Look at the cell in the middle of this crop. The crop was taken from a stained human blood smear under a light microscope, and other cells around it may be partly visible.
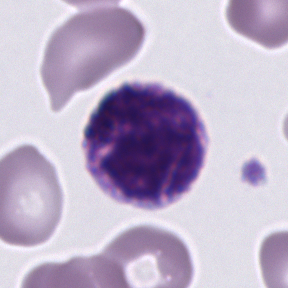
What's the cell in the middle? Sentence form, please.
The cell of interest, in the center, is a basophil.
